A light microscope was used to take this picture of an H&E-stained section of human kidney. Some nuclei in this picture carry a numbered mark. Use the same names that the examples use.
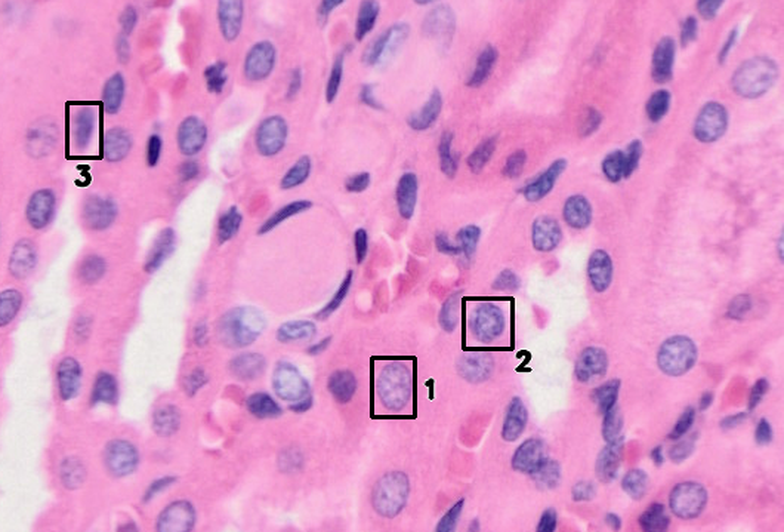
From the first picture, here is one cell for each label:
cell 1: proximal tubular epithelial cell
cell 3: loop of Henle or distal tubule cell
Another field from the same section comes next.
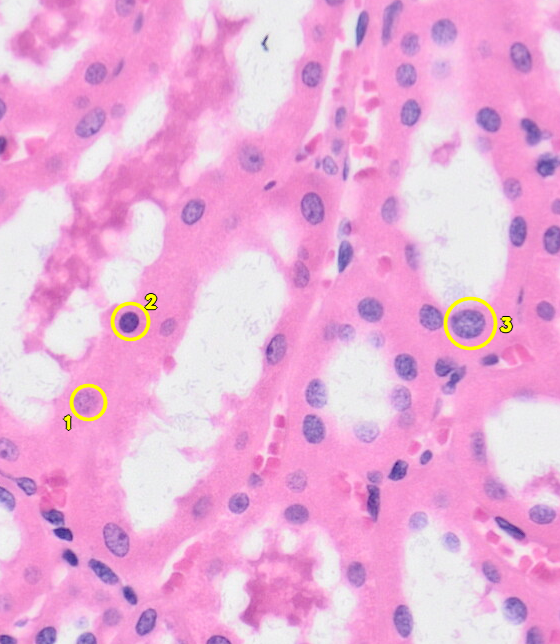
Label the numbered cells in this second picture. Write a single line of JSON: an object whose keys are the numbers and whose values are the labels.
{"1": "proximal tubular epithelial cell", "2": "proximal tubular epithelial cell", "3": "loop of Henle or distal tubule cell"}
